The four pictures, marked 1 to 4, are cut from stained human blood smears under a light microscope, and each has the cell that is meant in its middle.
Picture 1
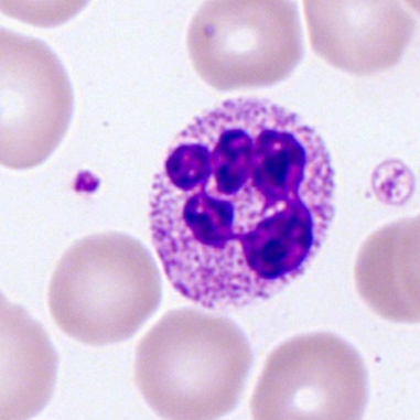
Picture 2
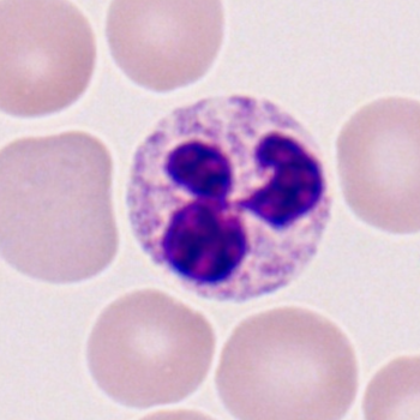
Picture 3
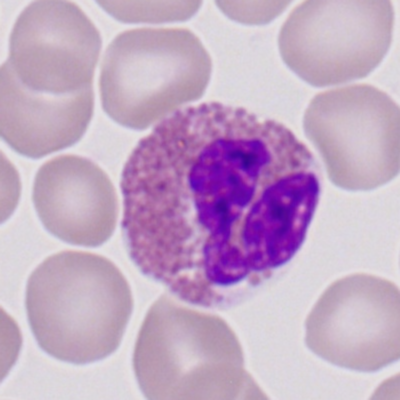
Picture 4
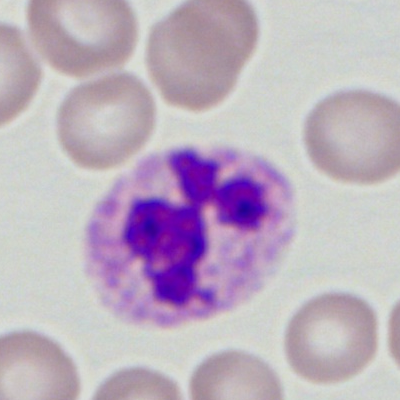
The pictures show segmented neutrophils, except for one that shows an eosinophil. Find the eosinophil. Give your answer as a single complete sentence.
The cell in picture 3 is the eosinophil.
